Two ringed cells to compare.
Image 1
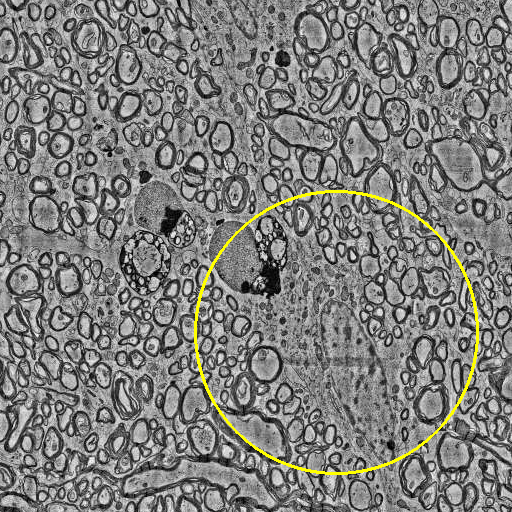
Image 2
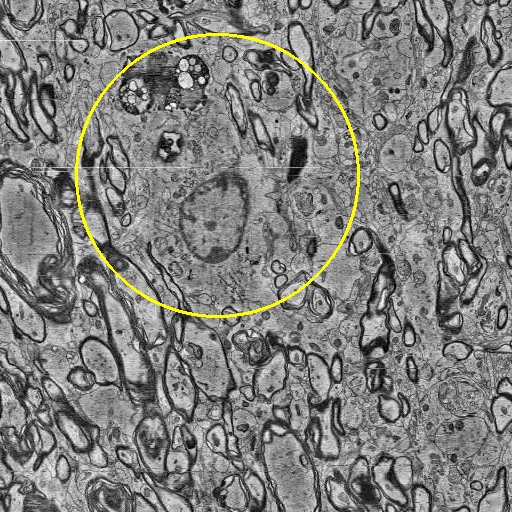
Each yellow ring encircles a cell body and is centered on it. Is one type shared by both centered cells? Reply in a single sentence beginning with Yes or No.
Yes, a single type is shared by the two cells at the centers of the rings.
